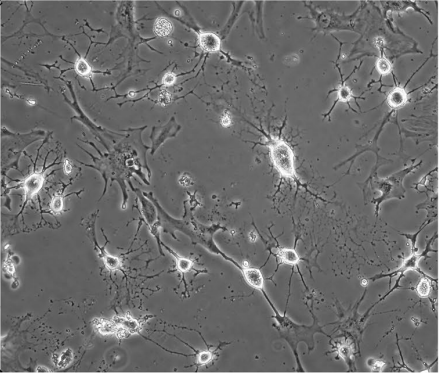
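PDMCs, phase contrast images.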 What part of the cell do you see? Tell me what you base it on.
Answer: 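Each bright cell body gives off several thin, branching extensions. The extensions branch into finer dark twigs along their length.
Answer: dendritic processes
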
